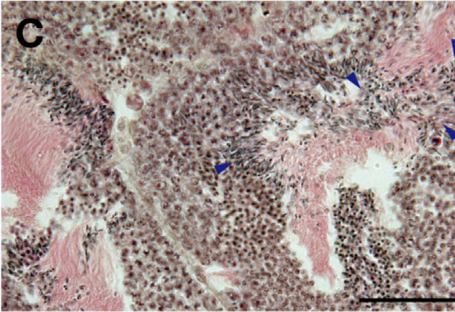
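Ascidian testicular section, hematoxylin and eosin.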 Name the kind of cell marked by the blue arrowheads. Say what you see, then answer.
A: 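The arrowheads point to clusters of small, elongated, dark-staining heads. These clusters lie toward the lumen, away from the masses of rounder cells.
Sperm.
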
